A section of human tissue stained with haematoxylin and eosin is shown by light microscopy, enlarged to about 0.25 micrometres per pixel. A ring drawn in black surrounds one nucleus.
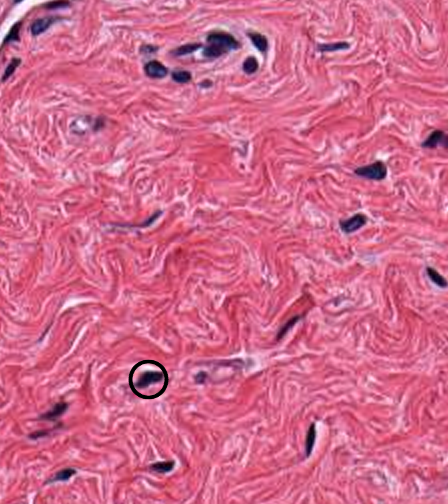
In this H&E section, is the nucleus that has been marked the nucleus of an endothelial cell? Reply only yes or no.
no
